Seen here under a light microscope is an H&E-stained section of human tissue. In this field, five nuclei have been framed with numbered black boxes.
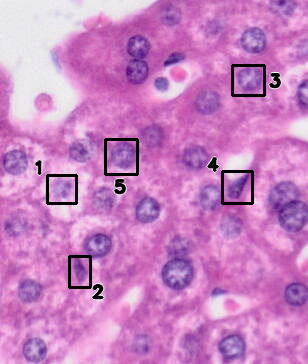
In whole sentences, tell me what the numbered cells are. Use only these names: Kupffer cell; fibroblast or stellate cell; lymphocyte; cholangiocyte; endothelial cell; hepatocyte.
Cell 1 is a hepatocyte, cell 2 is a fibroblast or stellate cell, cell 3 is a hepatocyte, cell 4 is a fibroblast or stellate cell and cell 5 is a hepatocyte.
